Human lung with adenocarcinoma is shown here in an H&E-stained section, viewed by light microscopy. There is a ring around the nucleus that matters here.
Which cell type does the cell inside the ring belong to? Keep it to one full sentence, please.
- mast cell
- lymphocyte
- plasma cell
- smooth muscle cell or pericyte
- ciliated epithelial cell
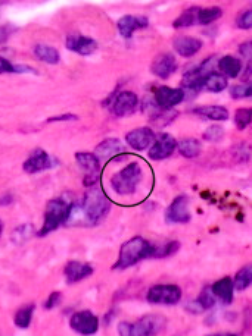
The identity of the cell inside the ring: it is a lymphocyte.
